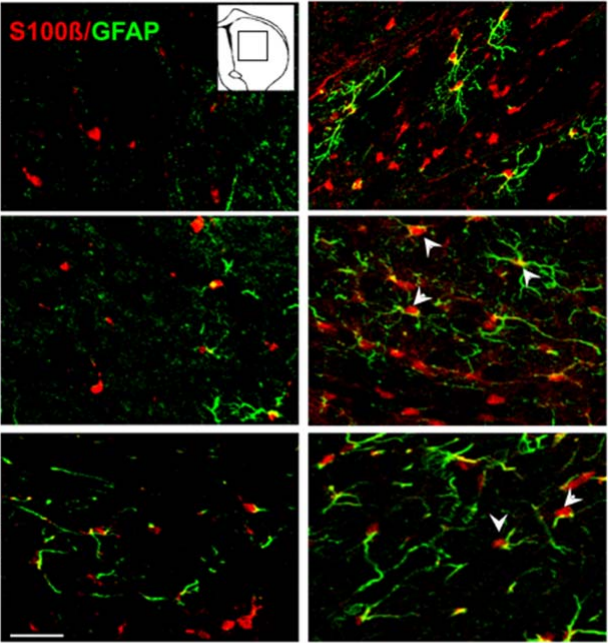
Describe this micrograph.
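Astrocytes are scattered in the striatal parenchyma, shown in a grid of six fluorescence images. In the left column there are sparse round red cell bodies and few thin green processes. In the right column there are many more cells. White arrowheads mark several of these star-shaped cells whose bodies carry both colours.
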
